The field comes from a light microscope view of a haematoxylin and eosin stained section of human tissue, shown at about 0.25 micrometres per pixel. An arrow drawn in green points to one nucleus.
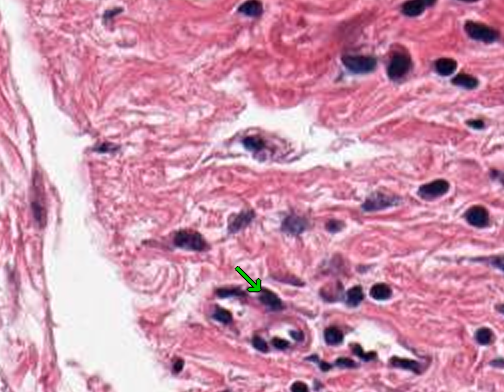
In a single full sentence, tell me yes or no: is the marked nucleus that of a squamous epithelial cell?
No, it is a supporting cell, not a squamous epithelial cell, to which the marked nucleus belongs.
